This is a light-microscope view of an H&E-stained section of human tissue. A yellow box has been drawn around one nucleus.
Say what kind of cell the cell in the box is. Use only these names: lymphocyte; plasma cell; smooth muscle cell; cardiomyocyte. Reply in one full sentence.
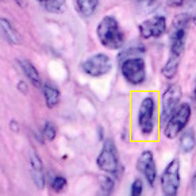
The cell meant here is a lymphocyte.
